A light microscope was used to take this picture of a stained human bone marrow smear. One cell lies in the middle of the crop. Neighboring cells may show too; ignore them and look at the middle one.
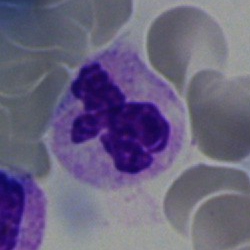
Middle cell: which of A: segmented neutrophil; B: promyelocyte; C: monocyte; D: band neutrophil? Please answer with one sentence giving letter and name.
That cell in the center is a segmented neutrophil, hence option A.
